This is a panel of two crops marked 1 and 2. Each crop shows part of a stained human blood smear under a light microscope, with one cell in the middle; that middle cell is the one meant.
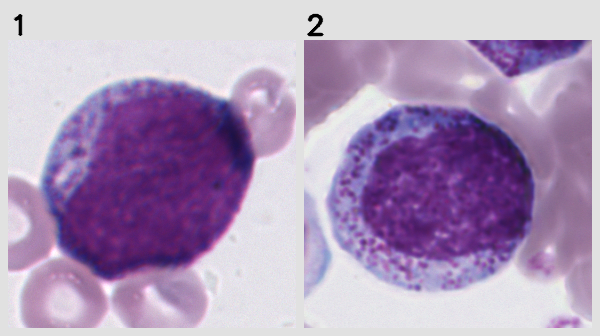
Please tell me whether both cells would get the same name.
yes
